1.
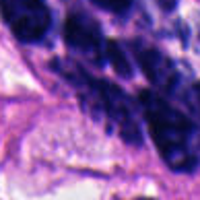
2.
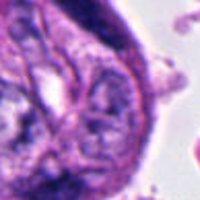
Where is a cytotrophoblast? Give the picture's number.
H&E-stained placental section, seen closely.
2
